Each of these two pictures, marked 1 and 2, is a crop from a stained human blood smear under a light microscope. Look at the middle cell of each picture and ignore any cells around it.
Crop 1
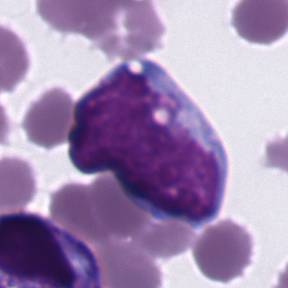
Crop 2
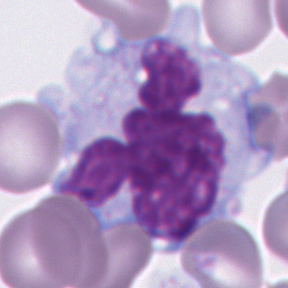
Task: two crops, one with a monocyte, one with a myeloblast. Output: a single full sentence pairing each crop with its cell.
In crop 1 the cell is a myeloblast, while in crop 2 it is a monocyte.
